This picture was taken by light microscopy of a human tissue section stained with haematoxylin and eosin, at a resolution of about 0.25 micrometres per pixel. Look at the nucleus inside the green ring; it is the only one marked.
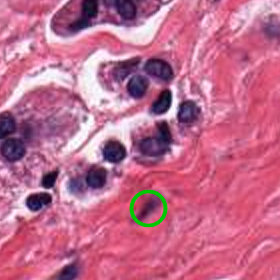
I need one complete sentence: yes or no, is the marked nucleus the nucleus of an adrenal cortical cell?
No, the marked nucleus does not form part of an adrenal cortical cell, being part of a supporting cell.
